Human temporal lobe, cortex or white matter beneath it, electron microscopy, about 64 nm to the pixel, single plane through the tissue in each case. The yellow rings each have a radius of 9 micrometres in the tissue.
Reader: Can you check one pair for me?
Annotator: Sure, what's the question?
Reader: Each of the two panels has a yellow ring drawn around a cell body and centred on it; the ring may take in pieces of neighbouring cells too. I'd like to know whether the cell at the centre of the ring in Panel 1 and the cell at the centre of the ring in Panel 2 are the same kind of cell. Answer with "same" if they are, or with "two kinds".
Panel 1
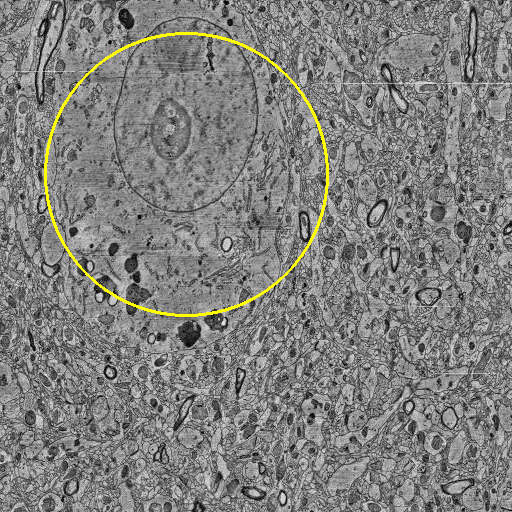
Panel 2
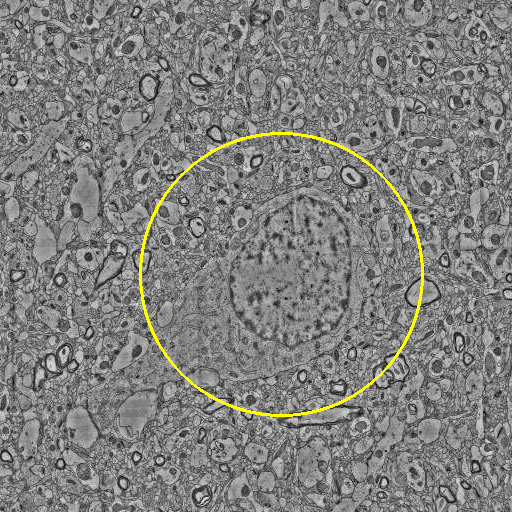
two kinds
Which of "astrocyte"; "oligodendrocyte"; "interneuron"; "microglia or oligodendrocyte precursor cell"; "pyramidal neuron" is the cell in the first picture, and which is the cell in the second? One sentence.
The two differ: the first cell is a pyramidal neuron and the second is an interneuron.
